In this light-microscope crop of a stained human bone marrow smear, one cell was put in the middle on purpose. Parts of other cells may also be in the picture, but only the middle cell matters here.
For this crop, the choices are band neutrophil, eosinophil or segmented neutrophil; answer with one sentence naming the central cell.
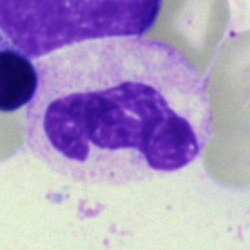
The cell occupying the middle of the crop is a segmented neutrophil.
